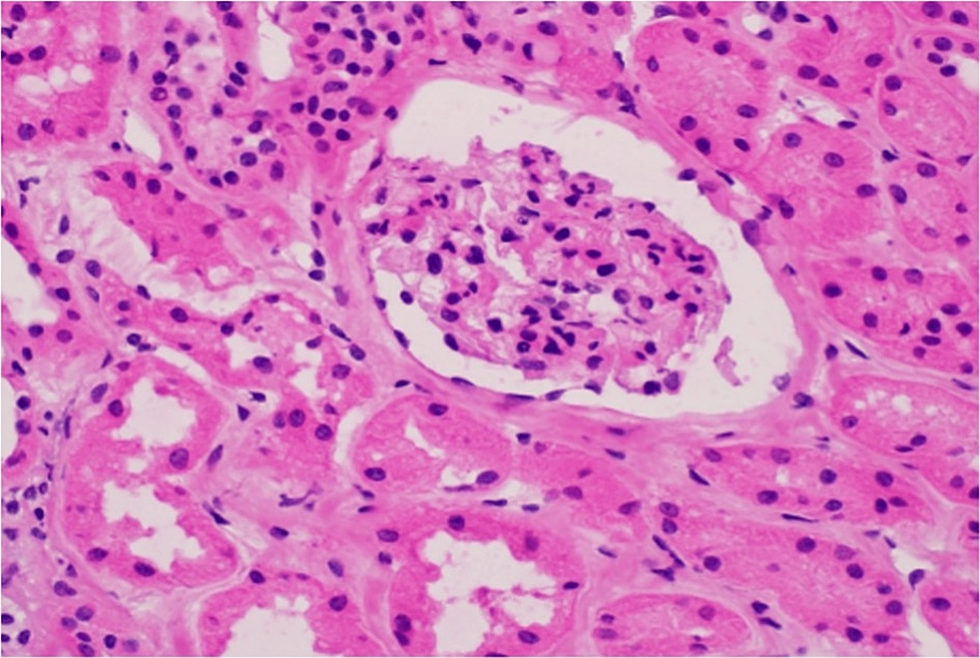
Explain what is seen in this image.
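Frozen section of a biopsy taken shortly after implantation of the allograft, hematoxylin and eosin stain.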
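This is kidney cortex with a glomerulus in the center, and its capillary tuft is crowded with small, dark nuclei. The tuft lies inside a clear space, the urinary space, bounded by a thin capsule. Many of the nuclei in the tuft are dense, small and irregular in shape, so the tuft looks busier than the tissue around it. All around, the tubules are lined by cells with abundant pink cytoplasm and round, purple nuclei. Some tubule lumens hold pale, frothy or vacuolated material, and thin pink strands of interstitium run between the tubules.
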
